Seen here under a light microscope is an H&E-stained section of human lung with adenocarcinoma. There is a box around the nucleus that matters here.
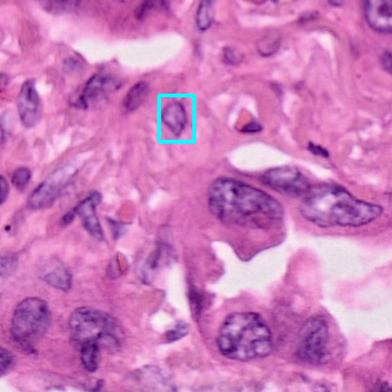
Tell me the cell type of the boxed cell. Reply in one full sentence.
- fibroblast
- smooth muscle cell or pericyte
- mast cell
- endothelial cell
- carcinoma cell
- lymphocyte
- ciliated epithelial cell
Speaking plainly, the boxed cell is nothing other than a fibroblast.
